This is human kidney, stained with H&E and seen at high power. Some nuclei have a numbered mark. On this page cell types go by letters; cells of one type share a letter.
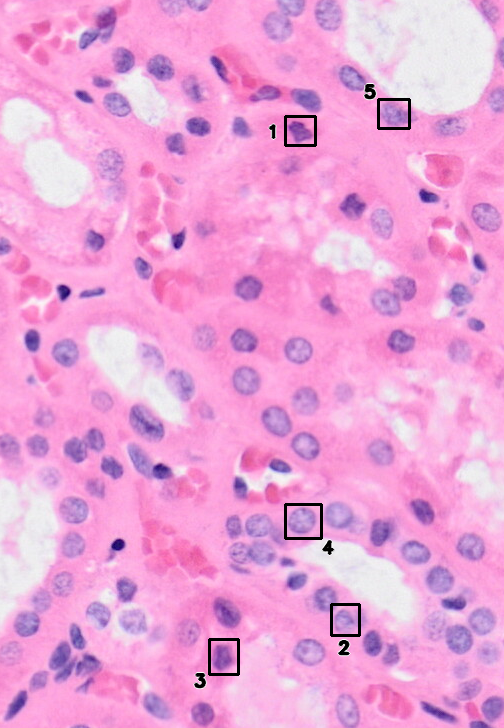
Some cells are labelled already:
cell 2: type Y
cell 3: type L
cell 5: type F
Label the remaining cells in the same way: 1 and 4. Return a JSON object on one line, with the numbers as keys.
{"1": "type L", "4": "type Y"}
